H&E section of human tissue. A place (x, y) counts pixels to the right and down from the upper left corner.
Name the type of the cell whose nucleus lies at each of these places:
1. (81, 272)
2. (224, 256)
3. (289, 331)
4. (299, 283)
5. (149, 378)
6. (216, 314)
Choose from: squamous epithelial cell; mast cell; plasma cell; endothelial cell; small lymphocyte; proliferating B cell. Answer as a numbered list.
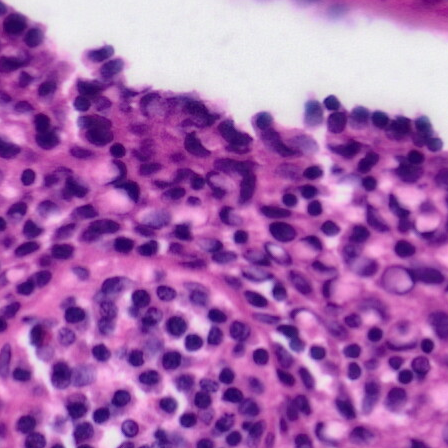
1. endothelial cell
2. squamous epithelial cell
3. squamous epithelial cell
4. squamous epithelial cell
5. plasma cell
6. plasma cell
